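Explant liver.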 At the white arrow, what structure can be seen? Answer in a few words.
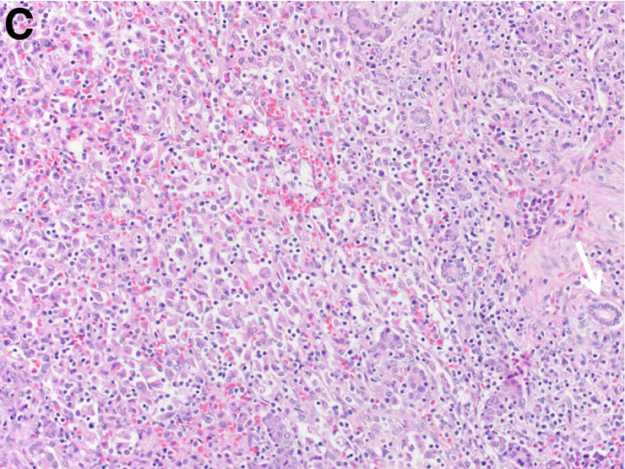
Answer: Bile duct.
